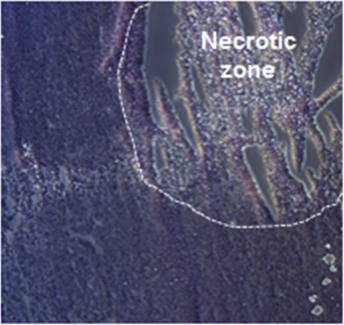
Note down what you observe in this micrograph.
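In the upper right, a rounded region outlined by a dashed line is paler and granular, with many small bright specks. Several long, clear, finger-like clefts extend downward within this paler region. Dense tissue surrounds the paler region on its left and lower sides.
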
